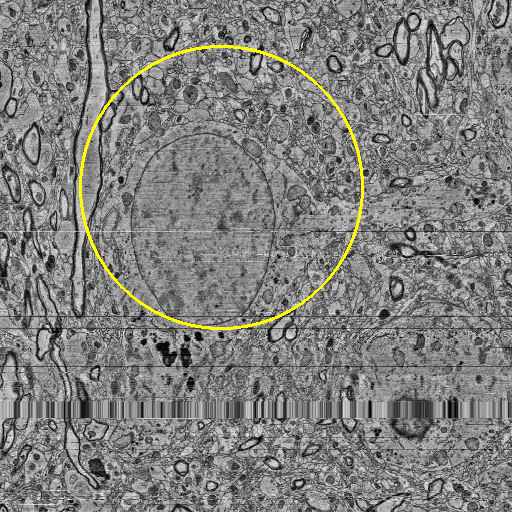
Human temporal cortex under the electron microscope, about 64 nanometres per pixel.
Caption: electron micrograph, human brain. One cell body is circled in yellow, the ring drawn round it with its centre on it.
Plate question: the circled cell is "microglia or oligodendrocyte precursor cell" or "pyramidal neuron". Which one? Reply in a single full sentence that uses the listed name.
The yellow ring on the plate is centred on a pyramidal neuron, going by the listed names.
